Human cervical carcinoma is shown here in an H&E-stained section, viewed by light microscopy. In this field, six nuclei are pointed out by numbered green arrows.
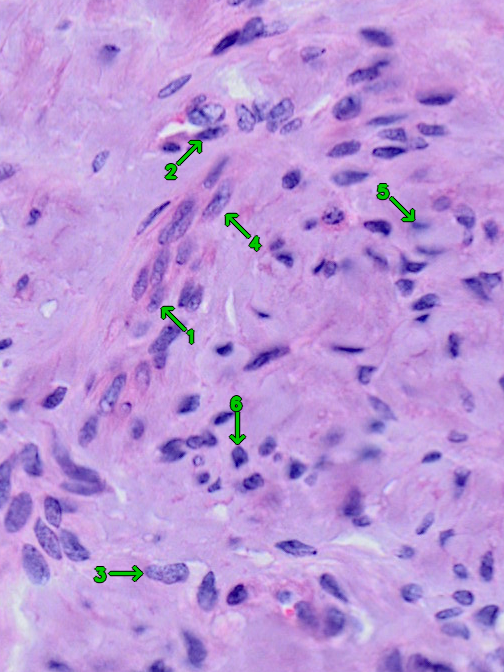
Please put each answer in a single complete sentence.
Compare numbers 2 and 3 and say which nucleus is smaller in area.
Nucleus 2 is the smaller one; nucleus 3 covers about 2 times its area.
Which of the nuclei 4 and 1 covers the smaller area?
With nucleus 4 about 2 times its size, nucleus 1 is the smaller of the two.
